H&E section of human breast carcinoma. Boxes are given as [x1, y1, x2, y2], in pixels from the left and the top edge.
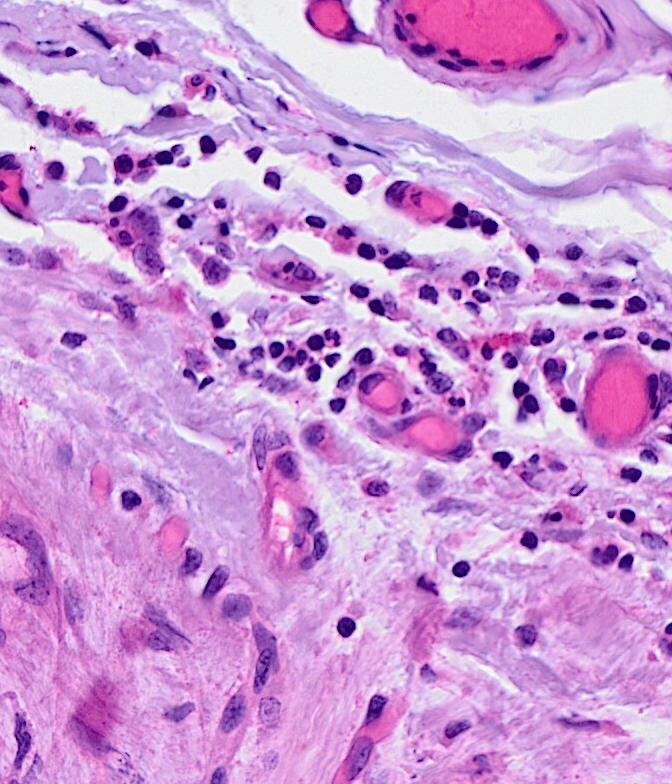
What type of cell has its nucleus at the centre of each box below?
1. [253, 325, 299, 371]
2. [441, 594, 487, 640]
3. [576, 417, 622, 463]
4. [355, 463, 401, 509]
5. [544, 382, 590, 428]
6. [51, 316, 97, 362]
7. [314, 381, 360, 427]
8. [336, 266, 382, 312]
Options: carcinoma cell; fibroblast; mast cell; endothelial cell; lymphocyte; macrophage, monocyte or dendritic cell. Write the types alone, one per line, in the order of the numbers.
lymphocyte
fibroblast
endothelial cell
mast cell
lymphocyte
lymphocyte
lymphocyte
lymphocyte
